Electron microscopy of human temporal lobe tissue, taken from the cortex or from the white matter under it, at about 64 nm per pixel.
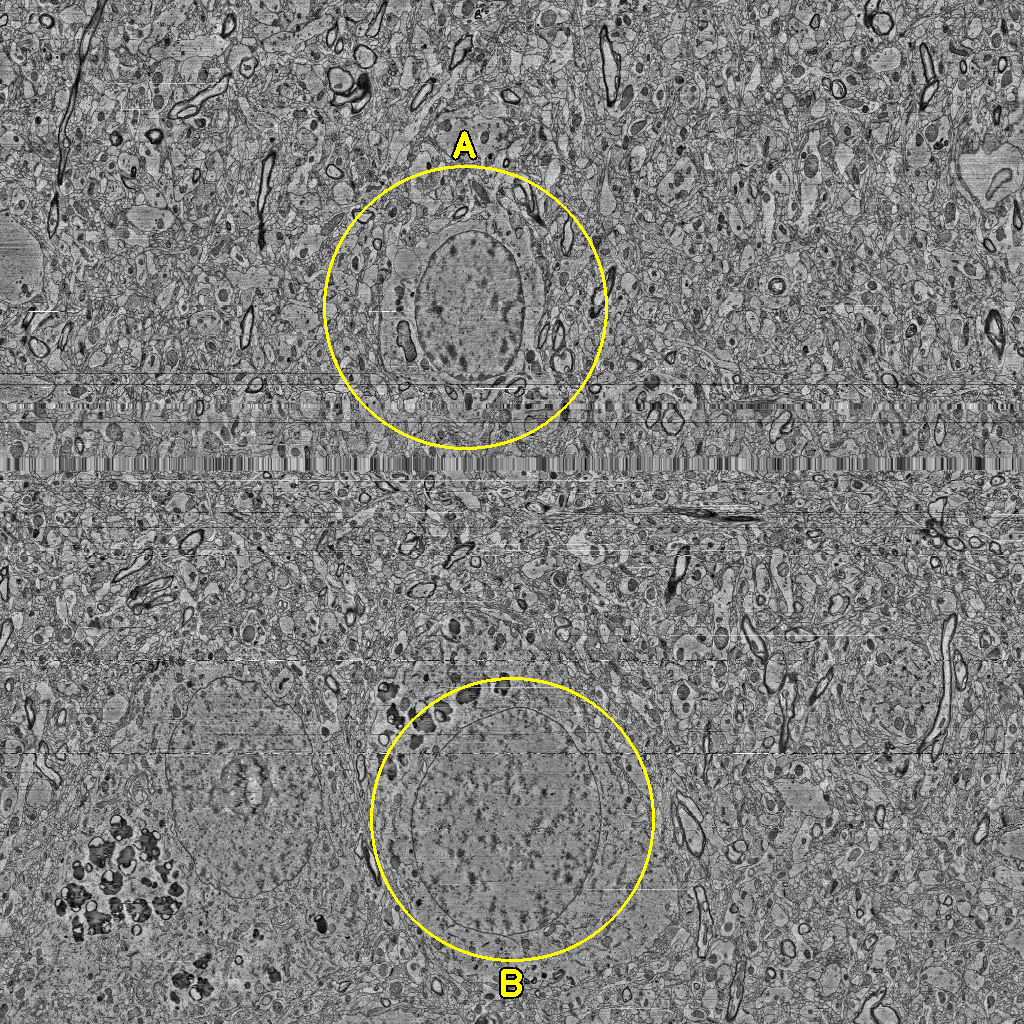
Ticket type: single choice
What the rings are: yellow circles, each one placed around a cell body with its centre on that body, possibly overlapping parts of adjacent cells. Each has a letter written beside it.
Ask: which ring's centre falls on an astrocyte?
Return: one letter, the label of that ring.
A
